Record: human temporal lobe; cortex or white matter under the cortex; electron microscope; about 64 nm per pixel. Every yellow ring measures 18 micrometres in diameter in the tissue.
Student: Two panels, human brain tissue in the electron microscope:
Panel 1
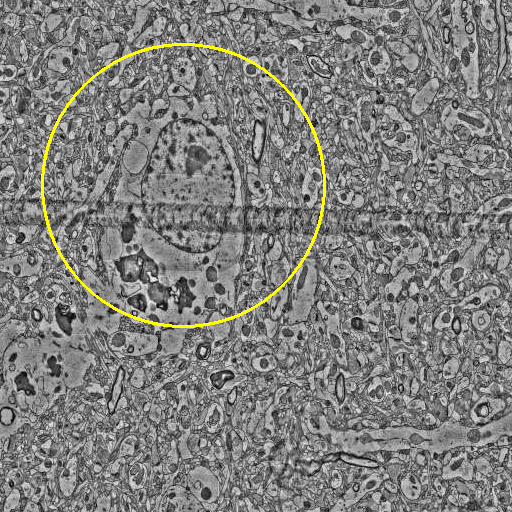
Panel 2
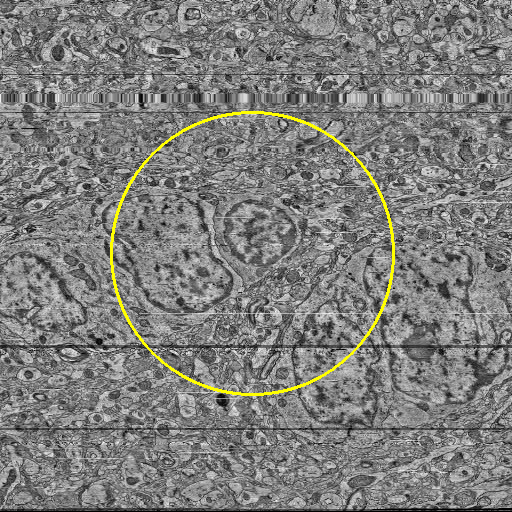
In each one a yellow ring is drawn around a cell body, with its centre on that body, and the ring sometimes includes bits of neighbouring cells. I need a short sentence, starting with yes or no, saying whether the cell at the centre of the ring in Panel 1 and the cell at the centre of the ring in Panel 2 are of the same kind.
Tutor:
No, they are two kinds of cell.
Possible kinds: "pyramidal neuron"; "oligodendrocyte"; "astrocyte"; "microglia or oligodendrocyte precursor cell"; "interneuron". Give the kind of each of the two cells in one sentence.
The cell in the second picture is an oligodendrocyte, and that in the first is an astrocyte.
